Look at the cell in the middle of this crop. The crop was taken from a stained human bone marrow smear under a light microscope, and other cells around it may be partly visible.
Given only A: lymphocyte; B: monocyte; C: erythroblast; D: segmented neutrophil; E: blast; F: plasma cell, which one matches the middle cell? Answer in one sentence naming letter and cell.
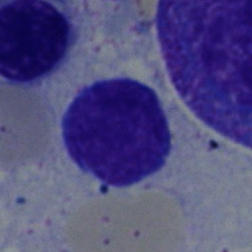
The cell placed in the middle is a lymphocyte; option A is correct.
